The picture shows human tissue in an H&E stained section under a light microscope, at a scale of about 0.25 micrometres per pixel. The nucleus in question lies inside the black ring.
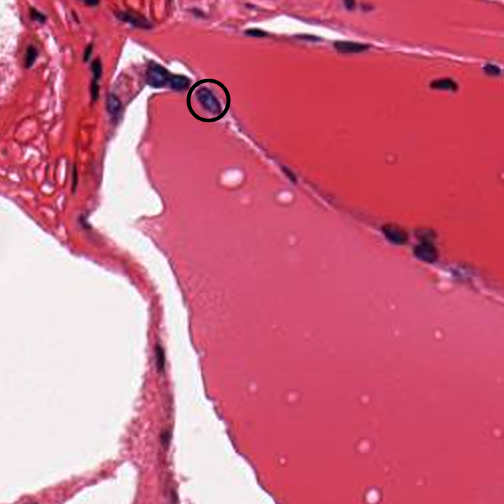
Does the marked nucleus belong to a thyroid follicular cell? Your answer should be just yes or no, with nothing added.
yes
